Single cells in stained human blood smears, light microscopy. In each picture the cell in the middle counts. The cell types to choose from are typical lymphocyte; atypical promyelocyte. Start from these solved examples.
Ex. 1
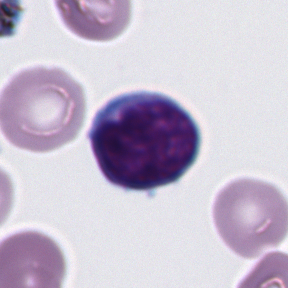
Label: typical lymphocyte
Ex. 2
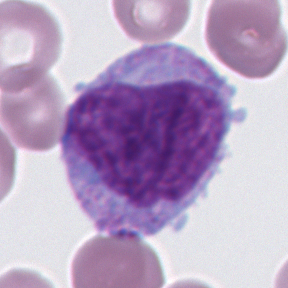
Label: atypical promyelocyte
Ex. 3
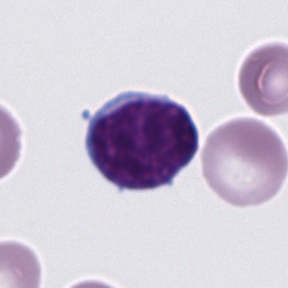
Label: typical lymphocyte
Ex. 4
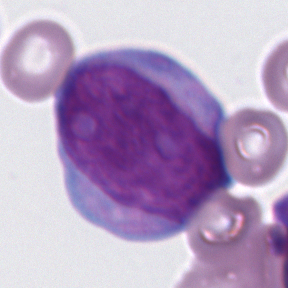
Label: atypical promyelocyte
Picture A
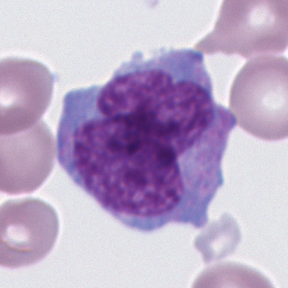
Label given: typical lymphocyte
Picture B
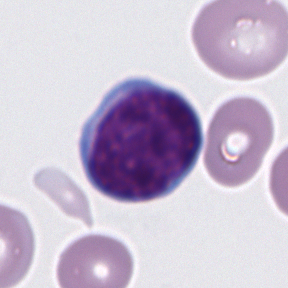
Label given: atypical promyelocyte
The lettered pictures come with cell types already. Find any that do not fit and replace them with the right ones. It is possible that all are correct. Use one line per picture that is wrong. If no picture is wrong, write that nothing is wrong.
Wrong: A (typical lymphocyte); correct: atypical promyelocyte
Wrong: B (atypical promyelocyte); correct: typical lymphocyte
